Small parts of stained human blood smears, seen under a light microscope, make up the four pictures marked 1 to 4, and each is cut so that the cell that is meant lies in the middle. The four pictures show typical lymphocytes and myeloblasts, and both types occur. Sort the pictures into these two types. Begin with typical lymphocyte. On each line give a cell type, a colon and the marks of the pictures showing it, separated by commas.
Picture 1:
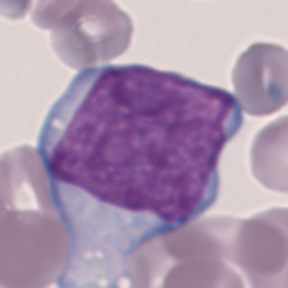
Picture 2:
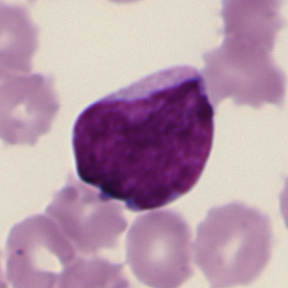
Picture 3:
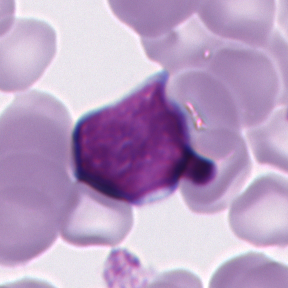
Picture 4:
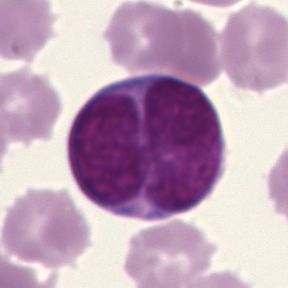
typical lymphocyte: 3
myeloblast: 1, 2, 4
